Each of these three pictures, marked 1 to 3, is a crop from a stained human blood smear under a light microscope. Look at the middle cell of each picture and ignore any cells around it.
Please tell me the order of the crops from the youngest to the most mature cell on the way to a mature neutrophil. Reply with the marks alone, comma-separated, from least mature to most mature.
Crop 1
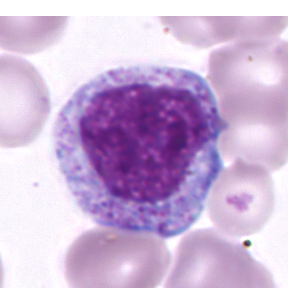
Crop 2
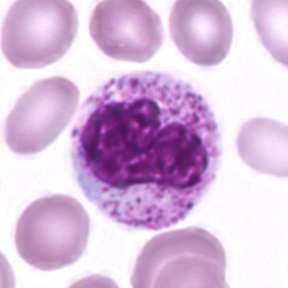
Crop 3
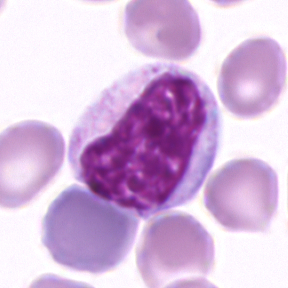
1, 3, 2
